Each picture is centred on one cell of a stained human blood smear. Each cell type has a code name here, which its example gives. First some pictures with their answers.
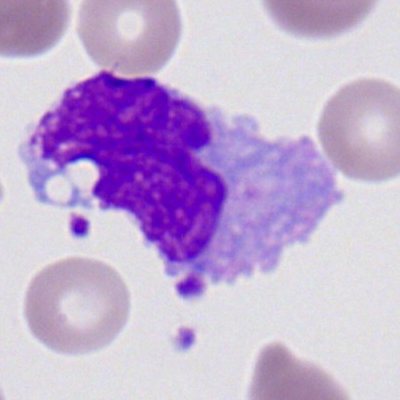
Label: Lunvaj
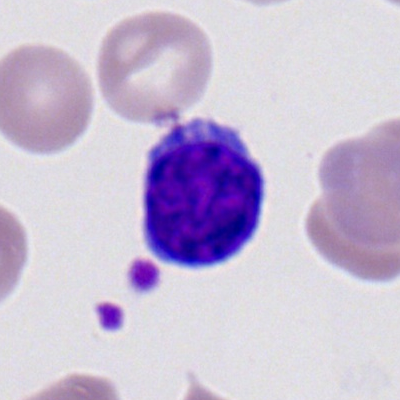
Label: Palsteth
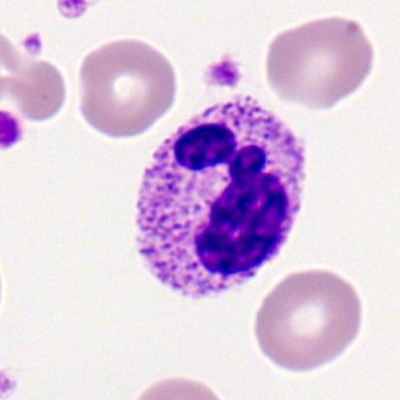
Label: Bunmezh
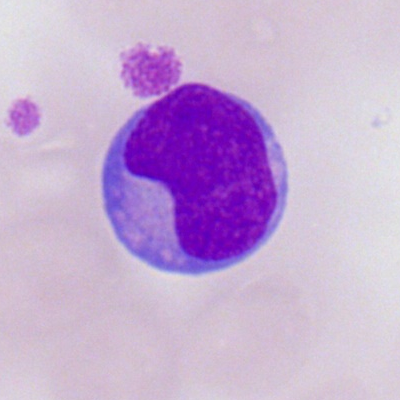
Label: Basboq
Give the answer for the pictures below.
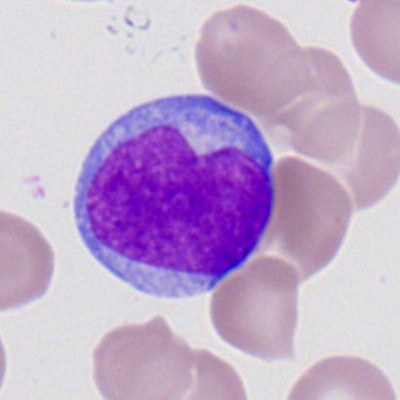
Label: Basboq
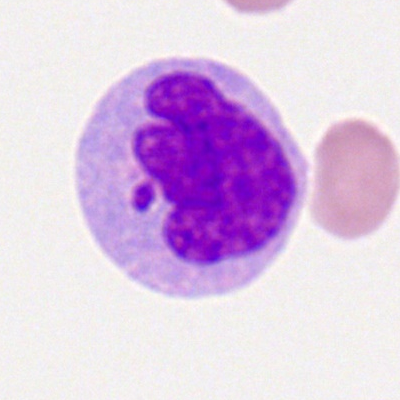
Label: Lunvaj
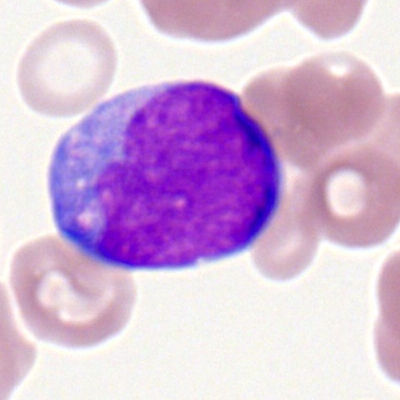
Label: Basboq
